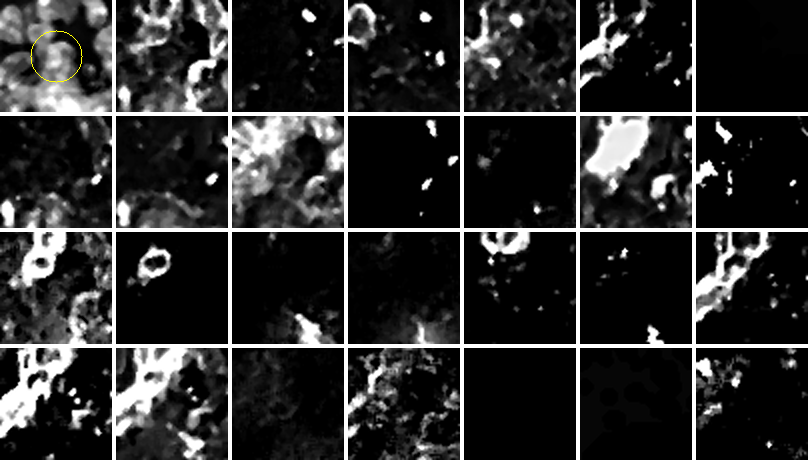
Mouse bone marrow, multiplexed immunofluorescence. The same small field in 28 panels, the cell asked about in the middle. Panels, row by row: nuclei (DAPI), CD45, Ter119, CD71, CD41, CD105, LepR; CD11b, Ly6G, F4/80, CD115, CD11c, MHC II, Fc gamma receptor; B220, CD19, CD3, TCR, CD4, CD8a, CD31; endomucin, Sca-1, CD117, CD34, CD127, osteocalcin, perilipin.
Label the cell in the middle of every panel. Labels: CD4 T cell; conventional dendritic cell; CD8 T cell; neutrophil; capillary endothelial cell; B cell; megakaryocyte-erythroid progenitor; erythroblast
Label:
capillary endothelial cell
